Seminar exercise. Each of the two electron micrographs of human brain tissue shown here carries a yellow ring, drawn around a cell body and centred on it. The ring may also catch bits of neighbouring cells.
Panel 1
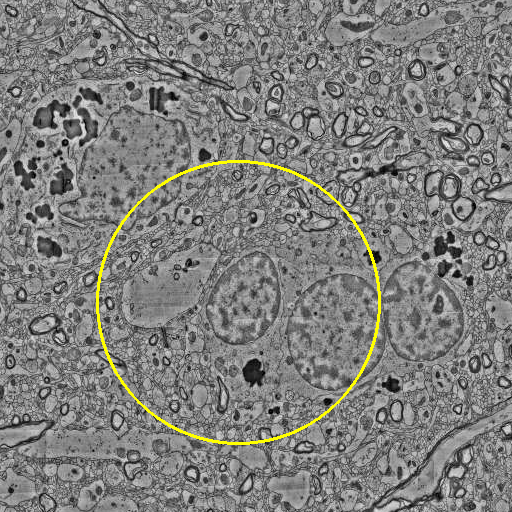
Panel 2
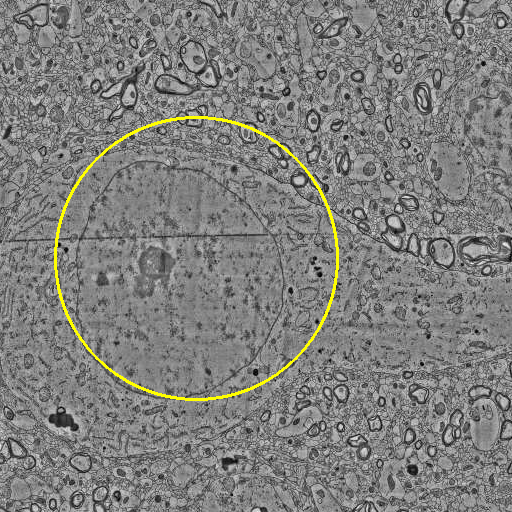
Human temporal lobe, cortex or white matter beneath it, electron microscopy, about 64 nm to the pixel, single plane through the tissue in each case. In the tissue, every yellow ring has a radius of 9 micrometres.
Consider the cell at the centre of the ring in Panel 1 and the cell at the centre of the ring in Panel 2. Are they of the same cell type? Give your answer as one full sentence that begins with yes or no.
No, the two cells are of two types.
